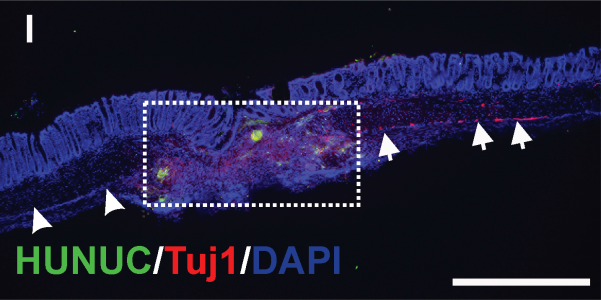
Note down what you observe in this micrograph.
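This low-power longitudinal section of the colon shows the mucosa with its regular crypts along the top and a thin muscular wall beneath. Toward one end, small red dots run in a line within the muscle wall, while toward the other end the wall shows only blue nuclei.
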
